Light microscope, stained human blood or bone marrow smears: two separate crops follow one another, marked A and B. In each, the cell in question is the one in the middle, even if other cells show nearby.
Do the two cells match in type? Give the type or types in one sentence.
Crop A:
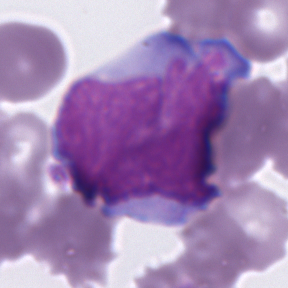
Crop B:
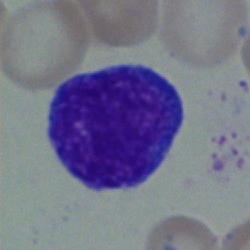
Yes, the cells in the centres of the two crops are blasts.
